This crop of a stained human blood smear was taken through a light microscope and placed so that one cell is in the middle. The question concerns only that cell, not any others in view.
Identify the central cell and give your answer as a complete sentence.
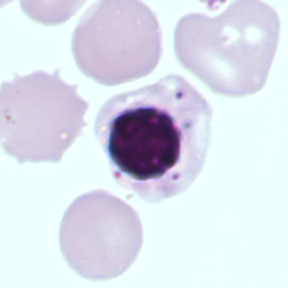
This crop is built around a normoblast at its centre.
